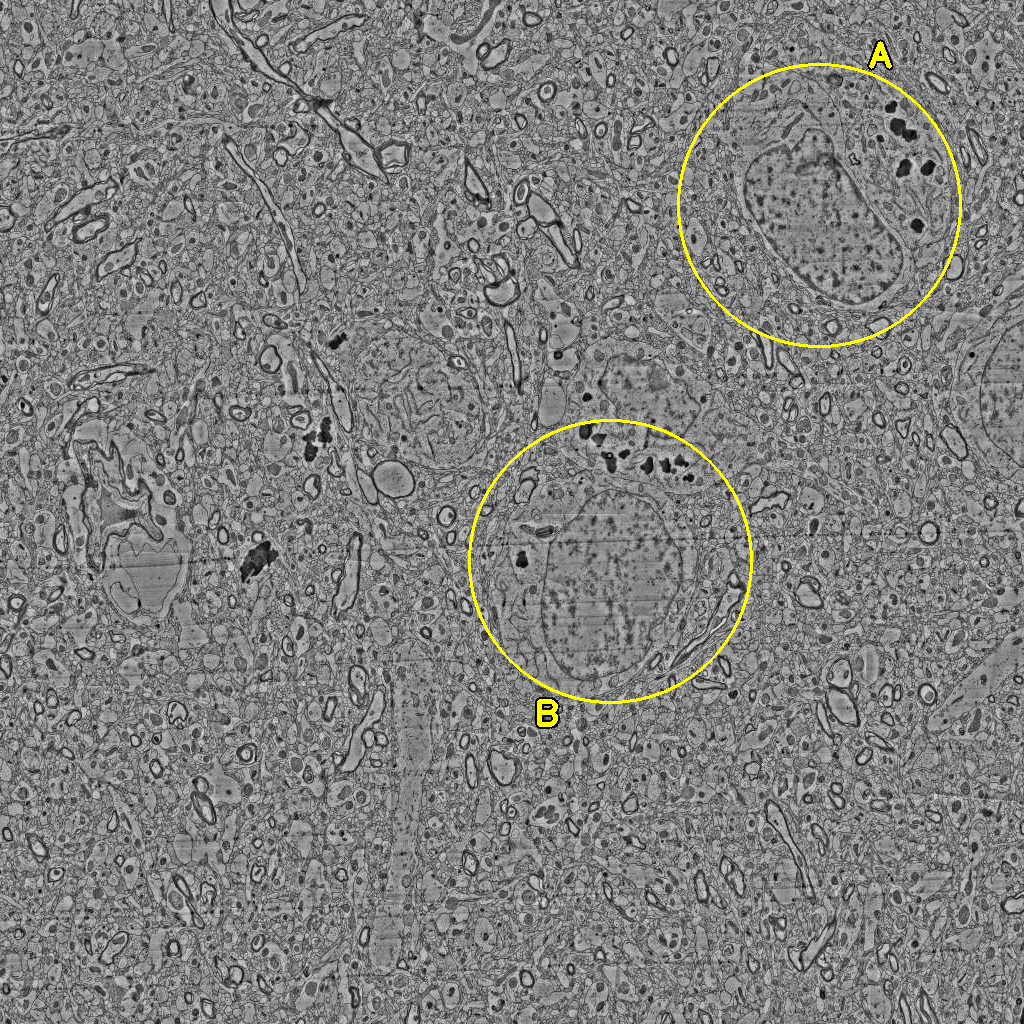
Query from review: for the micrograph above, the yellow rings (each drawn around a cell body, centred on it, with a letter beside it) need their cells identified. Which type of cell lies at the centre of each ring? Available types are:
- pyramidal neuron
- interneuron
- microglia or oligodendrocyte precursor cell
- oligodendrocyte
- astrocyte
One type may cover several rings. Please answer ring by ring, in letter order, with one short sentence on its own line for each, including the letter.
Ring A is drawn around a microglial cell or oligodendrocyte precursor cell.
Ring B is drawn around a pyramidal neuron.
